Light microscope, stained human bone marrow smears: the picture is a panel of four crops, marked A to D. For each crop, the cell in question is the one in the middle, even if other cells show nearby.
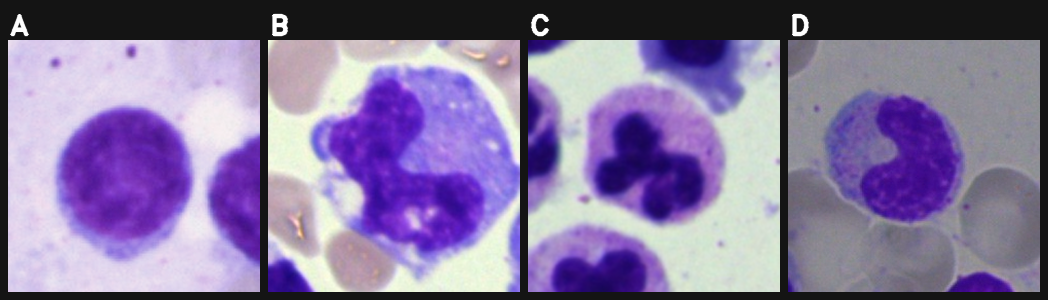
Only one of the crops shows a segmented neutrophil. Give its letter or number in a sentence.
Crop C is the one in the set with a segmented neutrophil at the center.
